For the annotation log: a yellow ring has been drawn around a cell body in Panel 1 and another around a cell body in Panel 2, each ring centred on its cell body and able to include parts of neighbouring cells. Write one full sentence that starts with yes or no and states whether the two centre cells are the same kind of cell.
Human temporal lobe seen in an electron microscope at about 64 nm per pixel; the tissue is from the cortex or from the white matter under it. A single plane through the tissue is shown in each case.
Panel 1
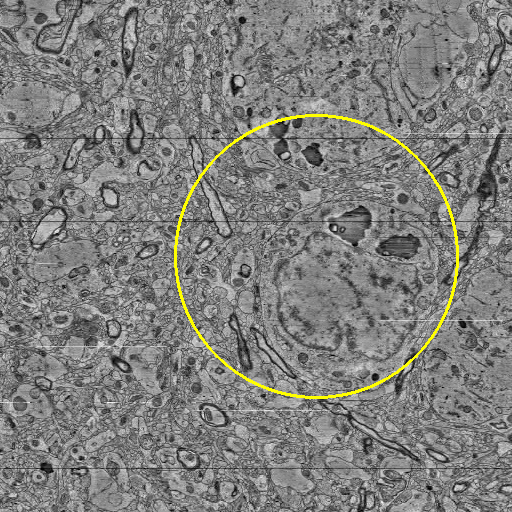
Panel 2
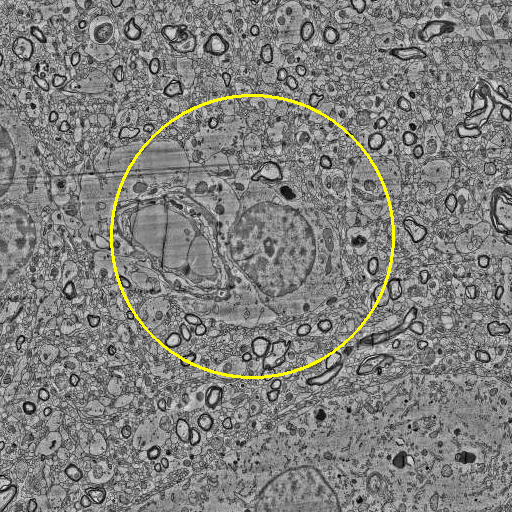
No, the two centre cells are two kinds of cell.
